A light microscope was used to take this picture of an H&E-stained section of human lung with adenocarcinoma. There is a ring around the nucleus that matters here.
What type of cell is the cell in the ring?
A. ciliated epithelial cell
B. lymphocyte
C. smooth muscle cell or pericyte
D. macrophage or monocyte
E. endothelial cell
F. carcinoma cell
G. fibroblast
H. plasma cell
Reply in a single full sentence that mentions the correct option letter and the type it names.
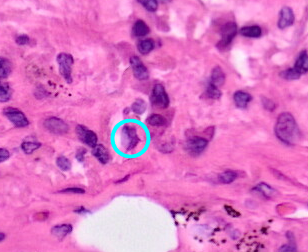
It is as option H has it, the cell in the ring being a plasma cell.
